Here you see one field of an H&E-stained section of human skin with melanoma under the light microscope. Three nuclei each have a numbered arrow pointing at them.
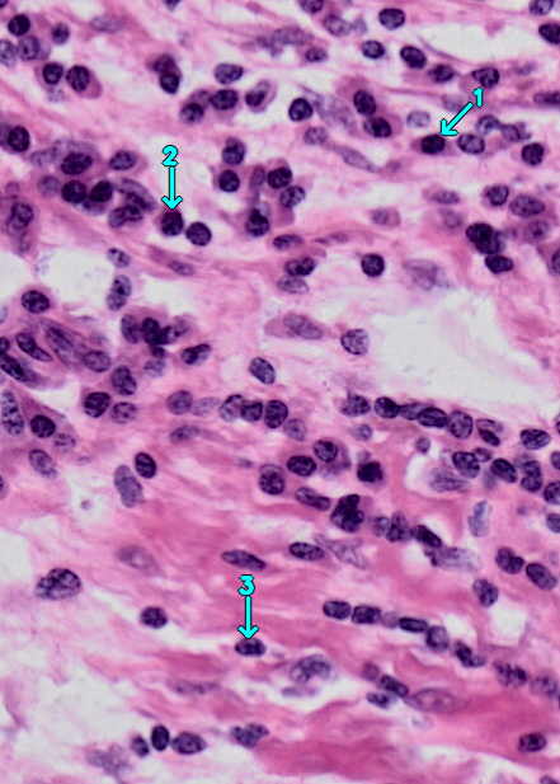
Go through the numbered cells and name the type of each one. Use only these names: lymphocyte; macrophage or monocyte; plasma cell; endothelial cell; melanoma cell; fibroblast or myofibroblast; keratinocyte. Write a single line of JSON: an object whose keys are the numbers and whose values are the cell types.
{"1": "plasma cell", "2": "plasma cell", "3": "lymphocyte"}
